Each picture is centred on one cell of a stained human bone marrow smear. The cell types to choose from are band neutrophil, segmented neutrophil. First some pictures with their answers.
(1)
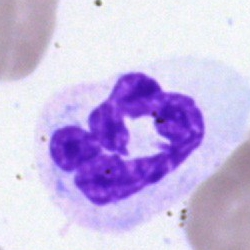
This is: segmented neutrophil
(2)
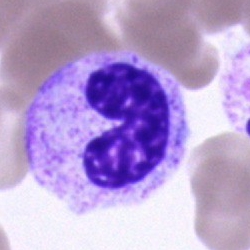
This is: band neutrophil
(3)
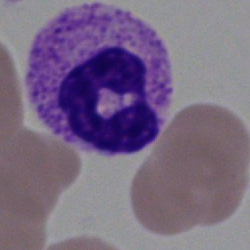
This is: segmented neutrophil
